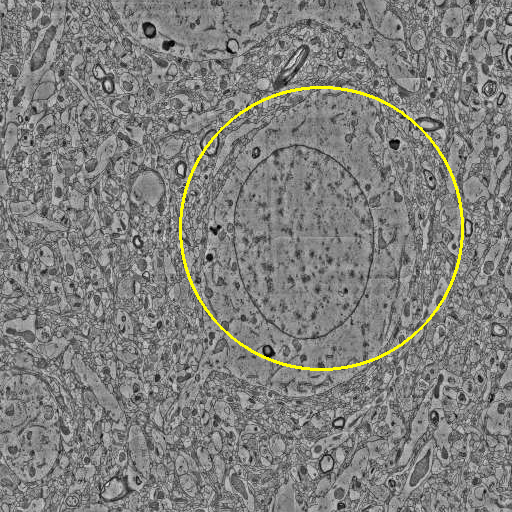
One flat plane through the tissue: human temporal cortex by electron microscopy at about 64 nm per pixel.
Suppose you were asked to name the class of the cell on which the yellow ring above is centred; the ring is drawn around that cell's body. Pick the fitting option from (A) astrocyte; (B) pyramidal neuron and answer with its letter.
B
